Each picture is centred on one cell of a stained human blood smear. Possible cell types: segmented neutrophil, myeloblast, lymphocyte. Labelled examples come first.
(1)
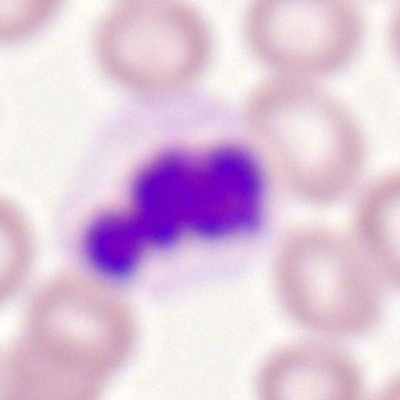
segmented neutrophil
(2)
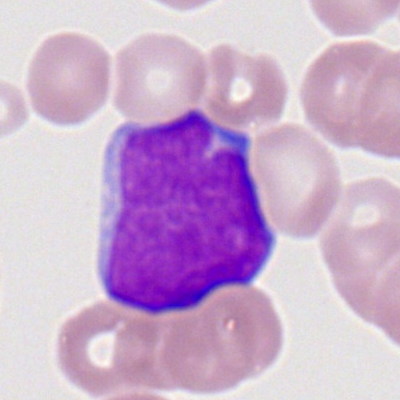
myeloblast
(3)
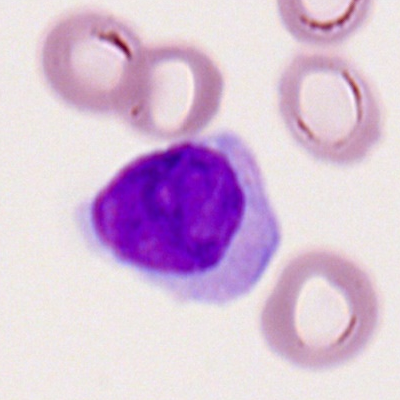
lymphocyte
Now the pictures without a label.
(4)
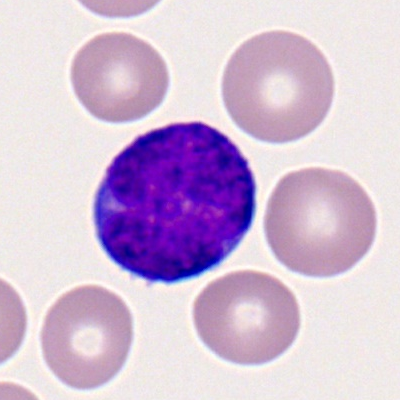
myeloblast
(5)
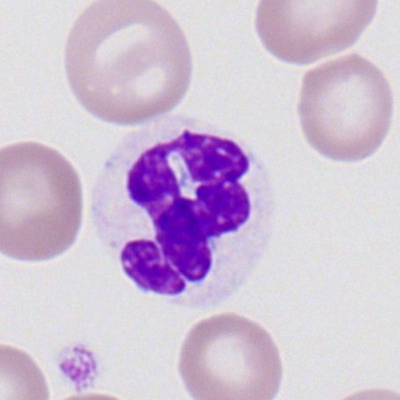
segmented neutrophil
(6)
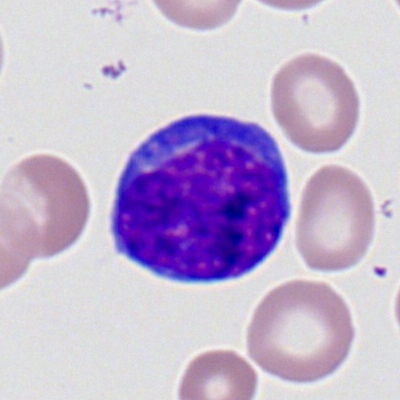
myeloblast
